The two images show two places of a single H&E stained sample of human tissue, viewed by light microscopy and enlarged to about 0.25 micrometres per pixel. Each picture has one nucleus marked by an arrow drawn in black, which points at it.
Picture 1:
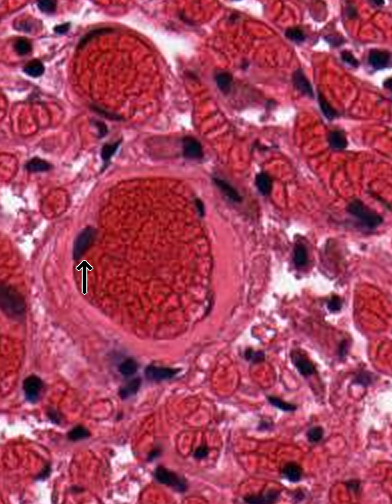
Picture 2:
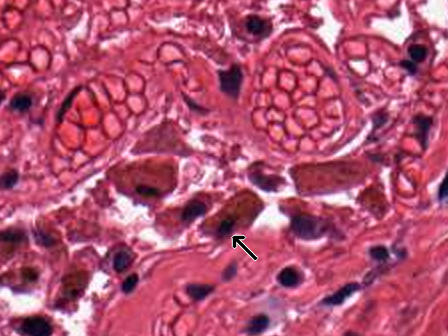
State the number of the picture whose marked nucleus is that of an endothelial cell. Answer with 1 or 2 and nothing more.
1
